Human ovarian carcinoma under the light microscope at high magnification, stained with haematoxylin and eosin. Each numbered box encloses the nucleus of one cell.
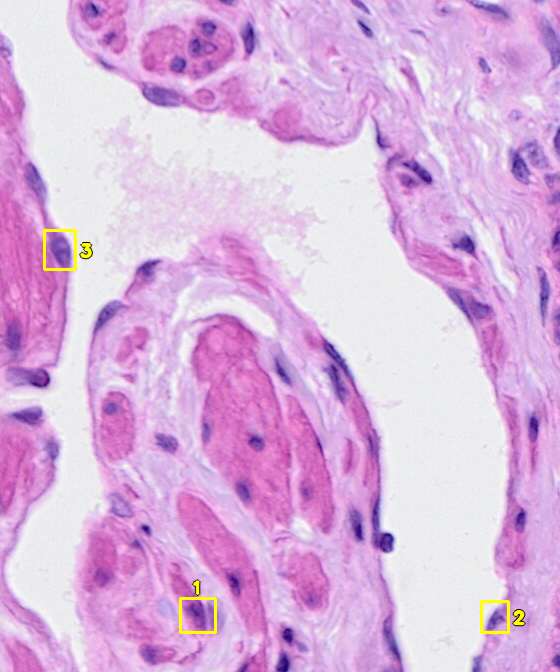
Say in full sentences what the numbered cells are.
Cell 1 is a smooth muscle cell, cell 2 is an endothelial cell and cell 3 is an endothelial cell.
